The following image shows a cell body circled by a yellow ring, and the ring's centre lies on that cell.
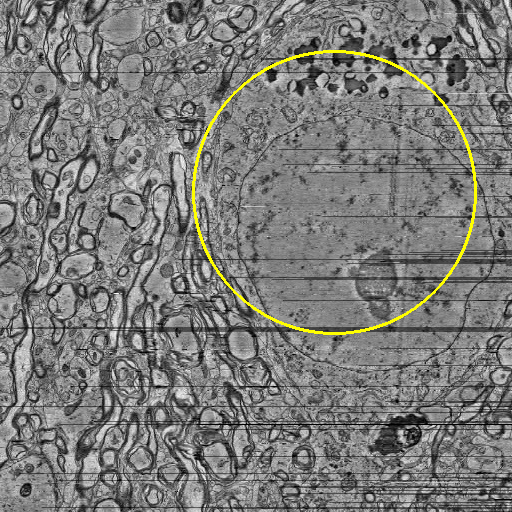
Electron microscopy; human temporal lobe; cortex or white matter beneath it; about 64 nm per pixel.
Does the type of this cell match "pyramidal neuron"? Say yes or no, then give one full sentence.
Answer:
Yes, the type matches for the cell at the ring's centre in this picture.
